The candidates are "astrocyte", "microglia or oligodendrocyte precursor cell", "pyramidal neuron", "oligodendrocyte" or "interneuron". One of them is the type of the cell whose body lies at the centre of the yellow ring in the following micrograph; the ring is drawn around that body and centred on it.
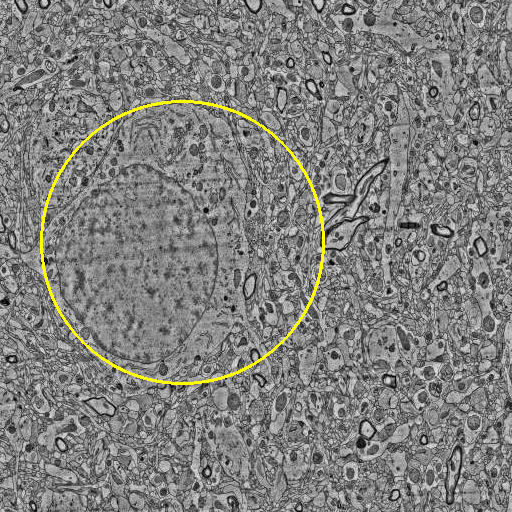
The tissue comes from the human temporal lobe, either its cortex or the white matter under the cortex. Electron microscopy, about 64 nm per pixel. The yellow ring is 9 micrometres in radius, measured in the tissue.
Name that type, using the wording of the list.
interneuron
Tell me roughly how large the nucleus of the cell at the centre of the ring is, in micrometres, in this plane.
Roughly 13 by 10 micrometres is the size of the nucleus in this plane.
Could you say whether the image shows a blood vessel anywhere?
No, the image shows no blood vessel.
